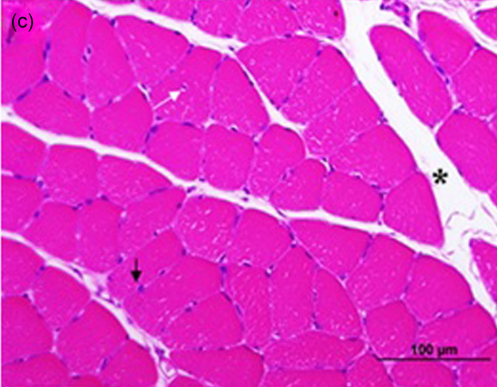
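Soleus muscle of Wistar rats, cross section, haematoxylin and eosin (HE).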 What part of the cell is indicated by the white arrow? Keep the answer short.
Centralised nuclei.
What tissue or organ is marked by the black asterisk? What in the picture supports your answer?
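Connective tissue. The asterisk lies in a broad pale band separating bundles of pink fibres. The band is largely empty-looking with few nuclei.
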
